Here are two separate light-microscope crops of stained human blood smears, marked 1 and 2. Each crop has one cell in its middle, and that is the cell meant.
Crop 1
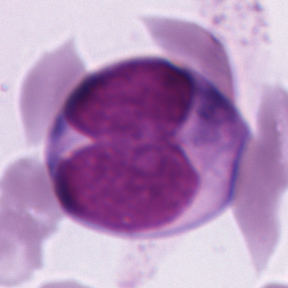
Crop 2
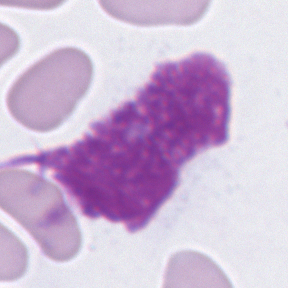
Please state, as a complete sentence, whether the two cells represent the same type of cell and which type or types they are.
No, crop 1 shows a myeloblast, and the cell in crop 2 is a smudge cell.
